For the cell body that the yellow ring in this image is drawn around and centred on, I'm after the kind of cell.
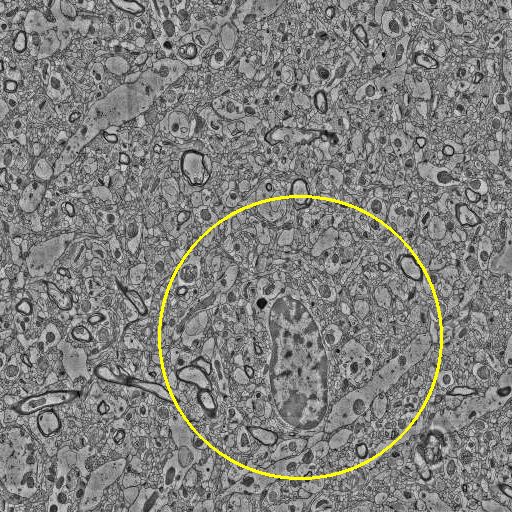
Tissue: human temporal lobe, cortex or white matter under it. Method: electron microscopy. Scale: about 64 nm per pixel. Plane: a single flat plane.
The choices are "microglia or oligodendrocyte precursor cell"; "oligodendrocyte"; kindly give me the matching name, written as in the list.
microglia or oligodendrocyte precursor cell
